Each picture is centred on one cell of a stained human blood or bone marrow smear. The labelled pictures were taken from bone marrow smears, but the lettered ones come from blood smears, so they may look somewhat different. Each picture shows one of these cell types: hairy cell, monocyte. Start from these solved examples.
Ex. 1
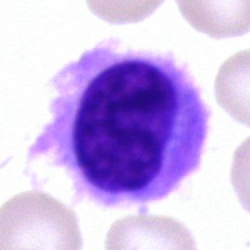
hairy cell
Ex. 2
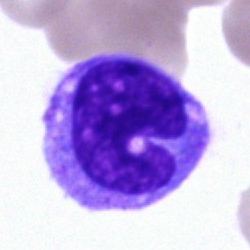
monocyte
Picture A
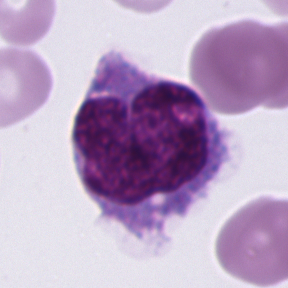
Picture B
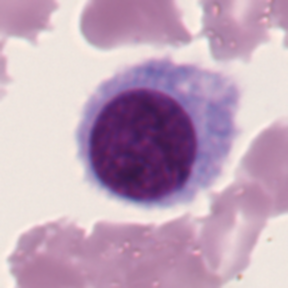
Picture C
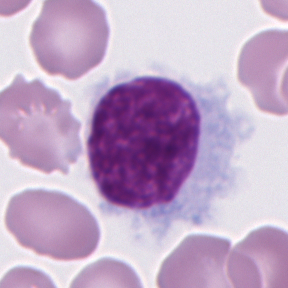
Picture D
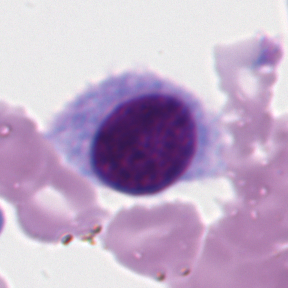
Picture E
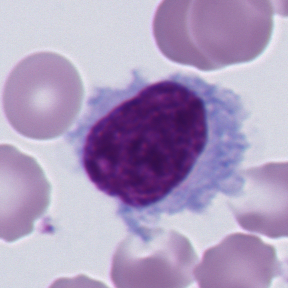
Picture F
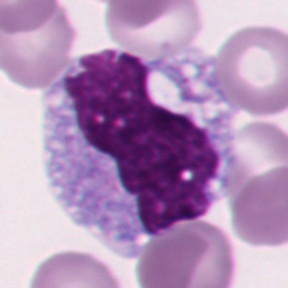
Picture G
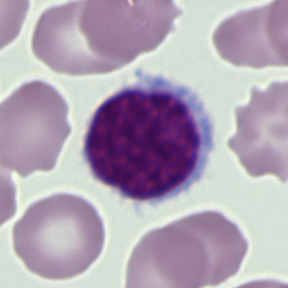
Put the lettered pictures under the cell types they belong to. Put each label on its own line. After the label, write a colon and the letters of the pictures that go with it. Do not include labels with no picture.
hairy cell: B, C, D, E, G
monocyte: A, F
